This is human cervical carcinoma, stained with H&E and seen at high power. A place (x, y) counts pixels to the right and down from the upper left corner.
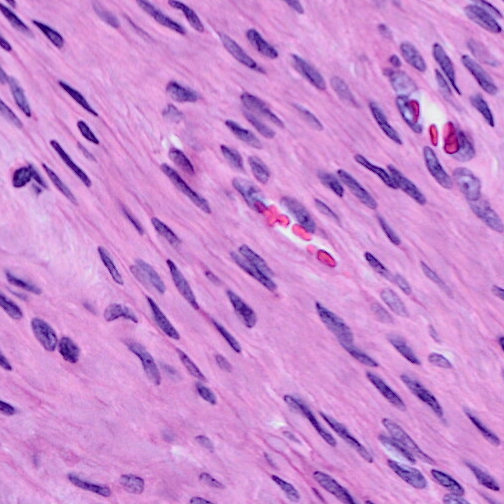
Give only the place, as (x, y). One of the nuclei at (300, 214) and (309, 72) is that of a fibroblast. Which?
(309, 72)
